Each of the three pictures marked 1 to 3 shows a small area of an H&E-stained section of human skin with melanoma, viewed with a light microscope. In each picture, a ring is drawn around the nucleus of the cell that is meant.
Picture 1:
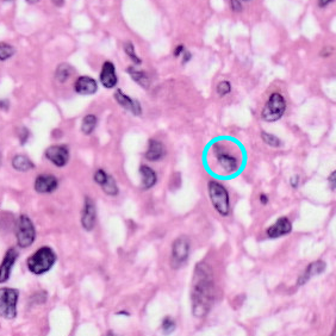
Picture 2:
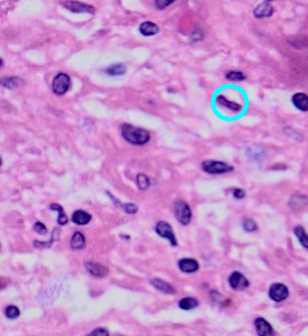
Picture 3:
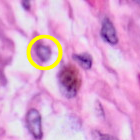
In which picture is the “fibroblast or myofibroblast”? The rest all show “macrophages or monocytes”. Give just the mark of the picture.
2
